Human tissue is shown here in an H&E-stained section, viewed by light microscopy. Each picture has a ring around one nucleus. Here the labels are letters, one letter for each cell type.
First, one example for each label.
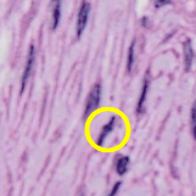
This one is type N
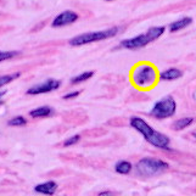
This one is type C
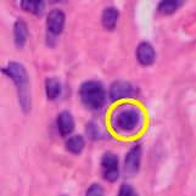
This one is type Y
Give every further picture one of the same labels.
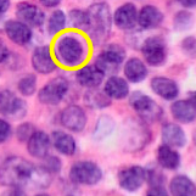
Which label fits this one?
type Y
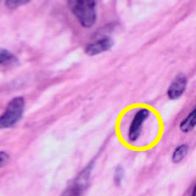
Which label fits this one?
type Y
